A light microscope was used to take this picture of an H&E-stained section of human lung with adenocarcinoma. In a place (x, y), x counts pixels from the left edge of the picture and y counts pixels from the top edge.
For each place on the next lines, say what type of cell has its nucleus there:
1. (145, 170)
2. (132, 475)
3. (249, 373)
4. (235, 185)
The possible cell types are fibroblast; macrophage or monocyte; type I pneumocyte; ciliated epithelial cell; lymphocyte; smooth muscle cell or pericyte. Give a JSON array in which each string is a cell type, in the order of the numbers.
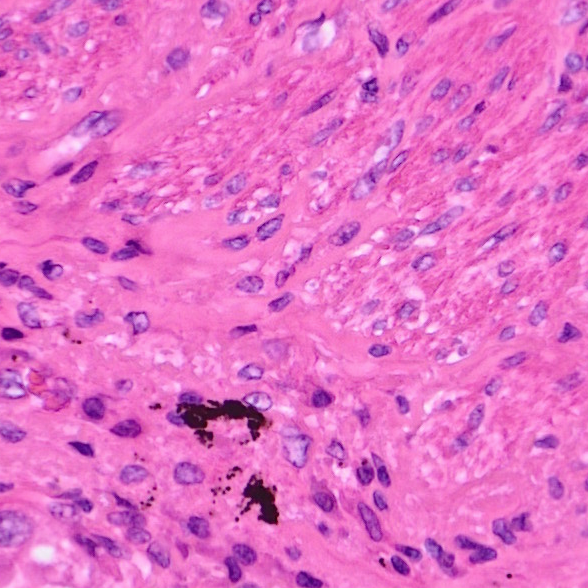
["smooth muscle cell or pericyte", "fibroblast", "fibroblast", "smooth muscle cell or pericyte"]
